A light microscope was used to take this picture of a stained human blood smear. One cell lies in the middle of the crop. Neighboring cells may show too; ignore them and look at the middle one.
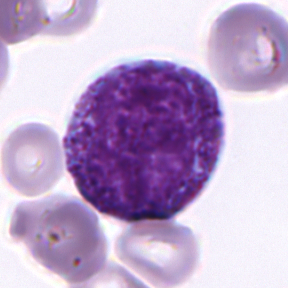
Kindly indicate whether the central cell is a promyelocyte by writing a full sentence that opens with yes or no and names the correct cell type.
No; rather than a promyelocyte, the cell at the center is a myelocyte.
